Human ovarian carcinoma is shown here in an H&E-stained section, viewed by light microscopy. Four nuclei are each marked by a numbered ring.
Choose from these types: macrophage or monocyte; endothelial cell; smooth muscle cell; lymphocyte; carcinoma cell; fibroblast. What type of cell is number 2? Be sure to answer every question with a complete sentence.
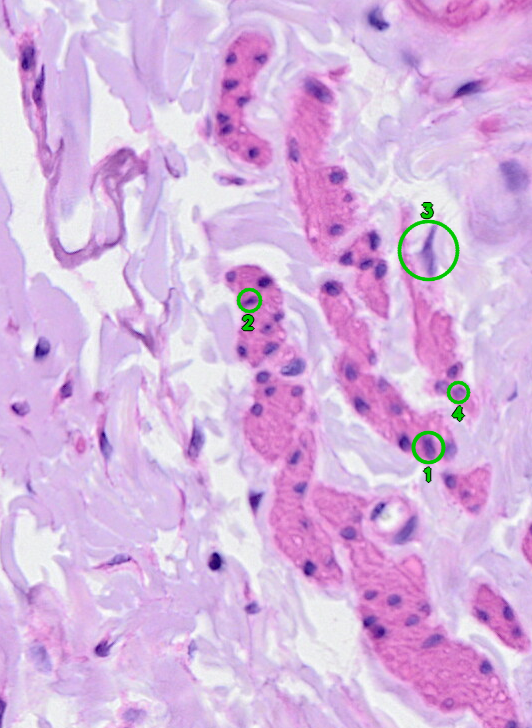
The one labeled 2 is a smooth muscle cell, to put it simply.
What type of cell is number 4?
Nucleus 4 in this section belongs to a smooth muscle cell.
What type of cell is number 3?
The cell tagged with 3 in this tissue section is a fibroblast.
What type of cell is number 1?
Cell 1, as marked in the section, is a smooth muscle cell.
